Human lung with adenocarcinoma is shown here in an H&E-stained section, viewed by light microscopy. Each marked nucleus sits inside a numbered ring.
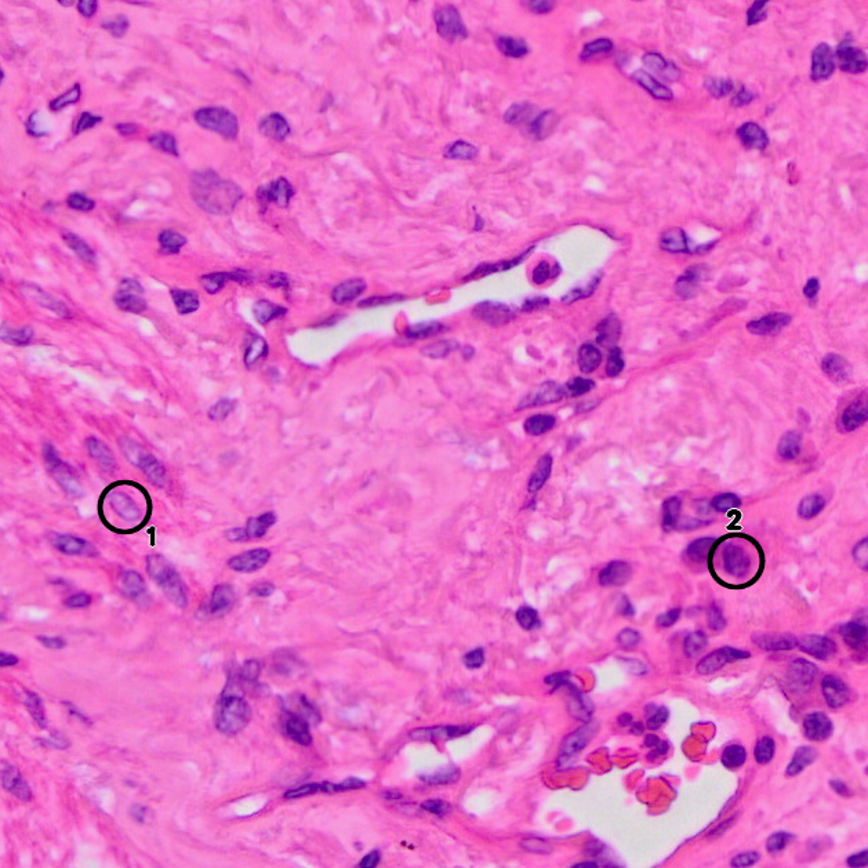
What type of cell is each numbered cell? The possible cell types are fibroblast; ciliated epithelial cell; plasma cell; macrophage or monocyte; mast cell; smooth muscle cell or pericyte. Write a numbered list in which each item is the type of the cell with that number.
1. smooth muscle cell or pericyte
2. plasma cell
